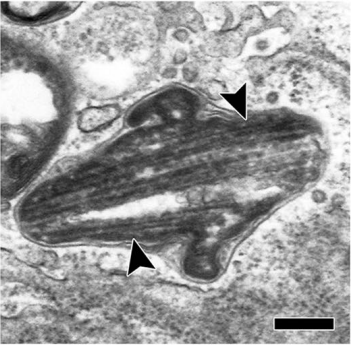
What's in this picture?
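This is a mature Weibel-Palade body in the cytoplasm of an endothelial cell. A paler cleft runs through part of the body between the striated bundles. Small vesicles and other membrane profiles lie in the surrounding cytoplasm.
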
